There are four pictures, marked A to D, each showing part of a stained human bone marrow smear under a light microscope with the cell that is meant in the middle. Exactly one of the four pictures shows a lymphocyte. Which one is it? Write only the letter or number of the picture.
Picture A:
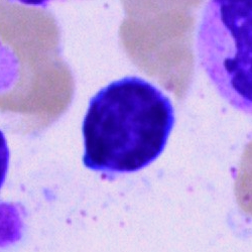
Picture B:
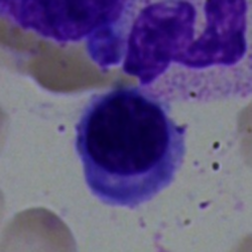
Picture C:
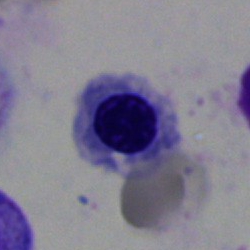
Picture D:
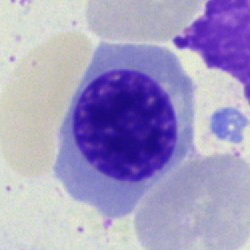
A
